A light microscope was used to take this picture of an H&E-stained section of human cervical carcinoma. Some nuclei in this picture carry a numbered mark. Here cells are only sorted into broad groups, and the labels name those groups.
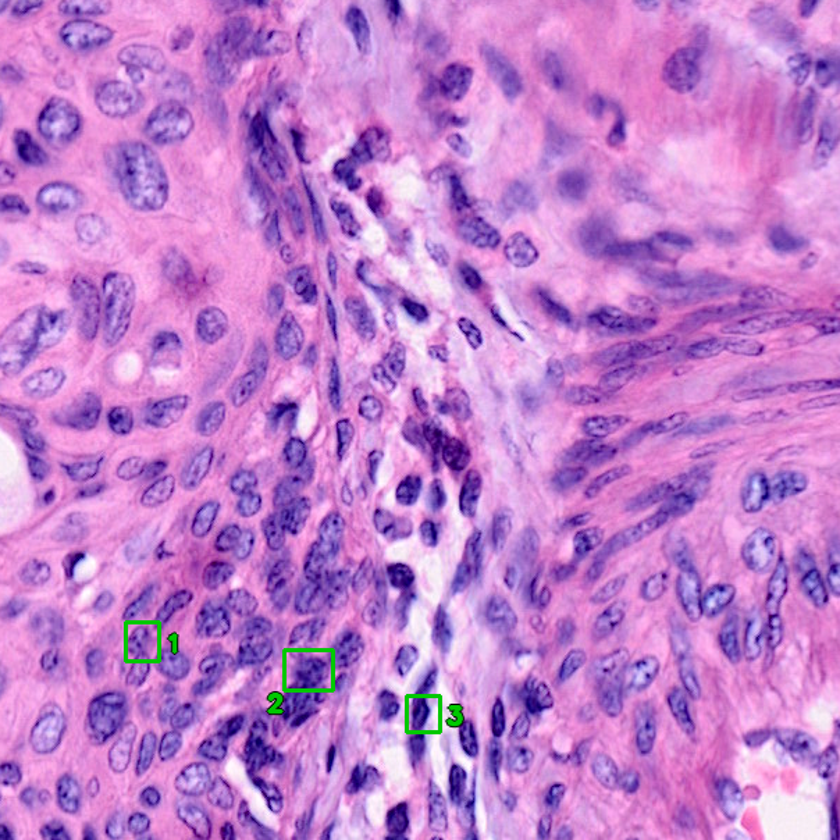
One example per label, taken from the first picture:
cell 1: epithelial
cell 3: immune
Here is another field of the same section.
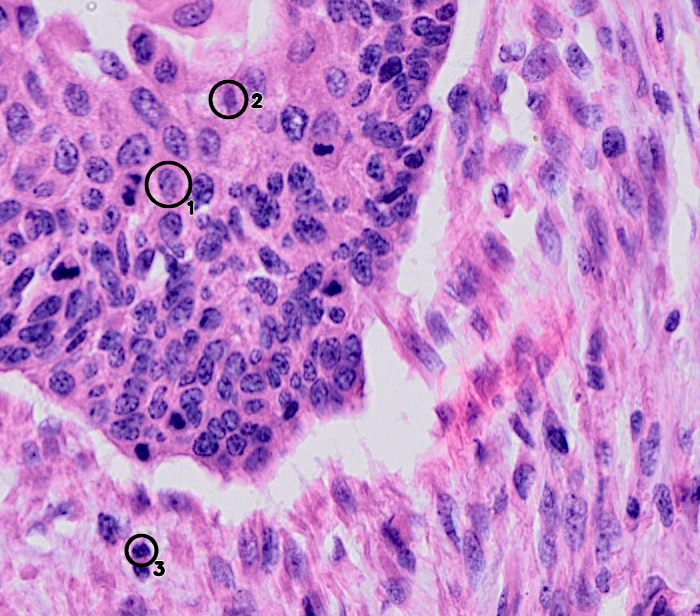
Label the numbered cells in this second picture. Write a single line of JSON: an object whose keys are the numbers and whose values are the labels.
{"1": "epithelial", "2": "epithelial", "3": "immune"}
